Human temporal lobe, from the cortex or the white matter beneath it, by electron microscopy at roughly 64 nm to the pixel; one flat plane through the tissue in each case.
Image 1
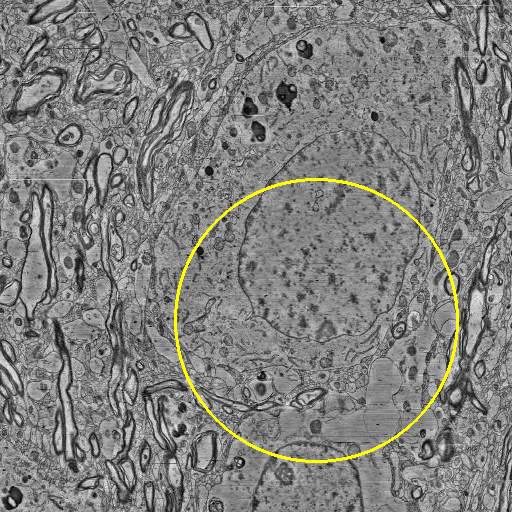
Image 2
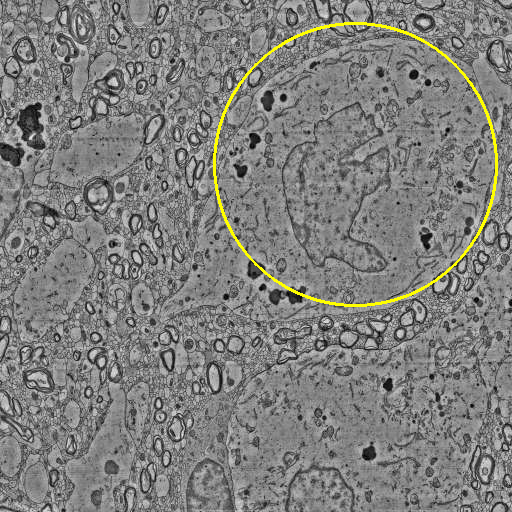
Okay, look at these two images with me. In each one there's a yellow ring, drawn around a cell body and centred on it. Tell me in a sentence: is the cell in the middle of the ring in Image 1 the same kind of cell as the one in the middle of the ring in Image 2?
Yes, they're the same kind of cell.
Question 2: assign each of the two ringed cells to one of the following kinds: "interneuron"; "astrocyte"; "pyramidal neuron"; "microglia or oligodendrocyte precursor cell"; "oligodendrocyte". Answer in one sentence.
Each of the two rings surrounds a pyramidal neuron.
